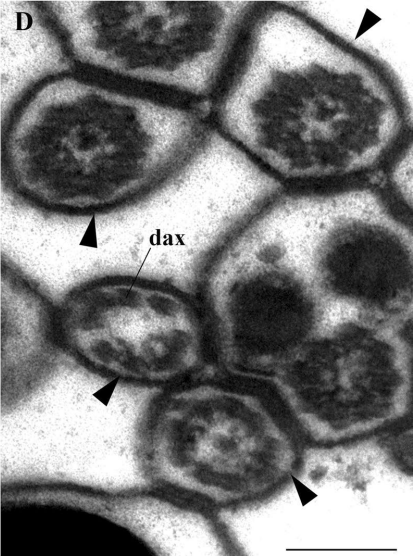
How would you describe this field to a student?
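Cross sections through final portions of sperm flagella, small membrane-bound profiles lying among larger flagellar sections that still carry dense mitochondrial derivatives. The terminal profiles contain only the axoneme, and in one of them the microtubule pattern is broken up and irregular, a disintegrating axoneme.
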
